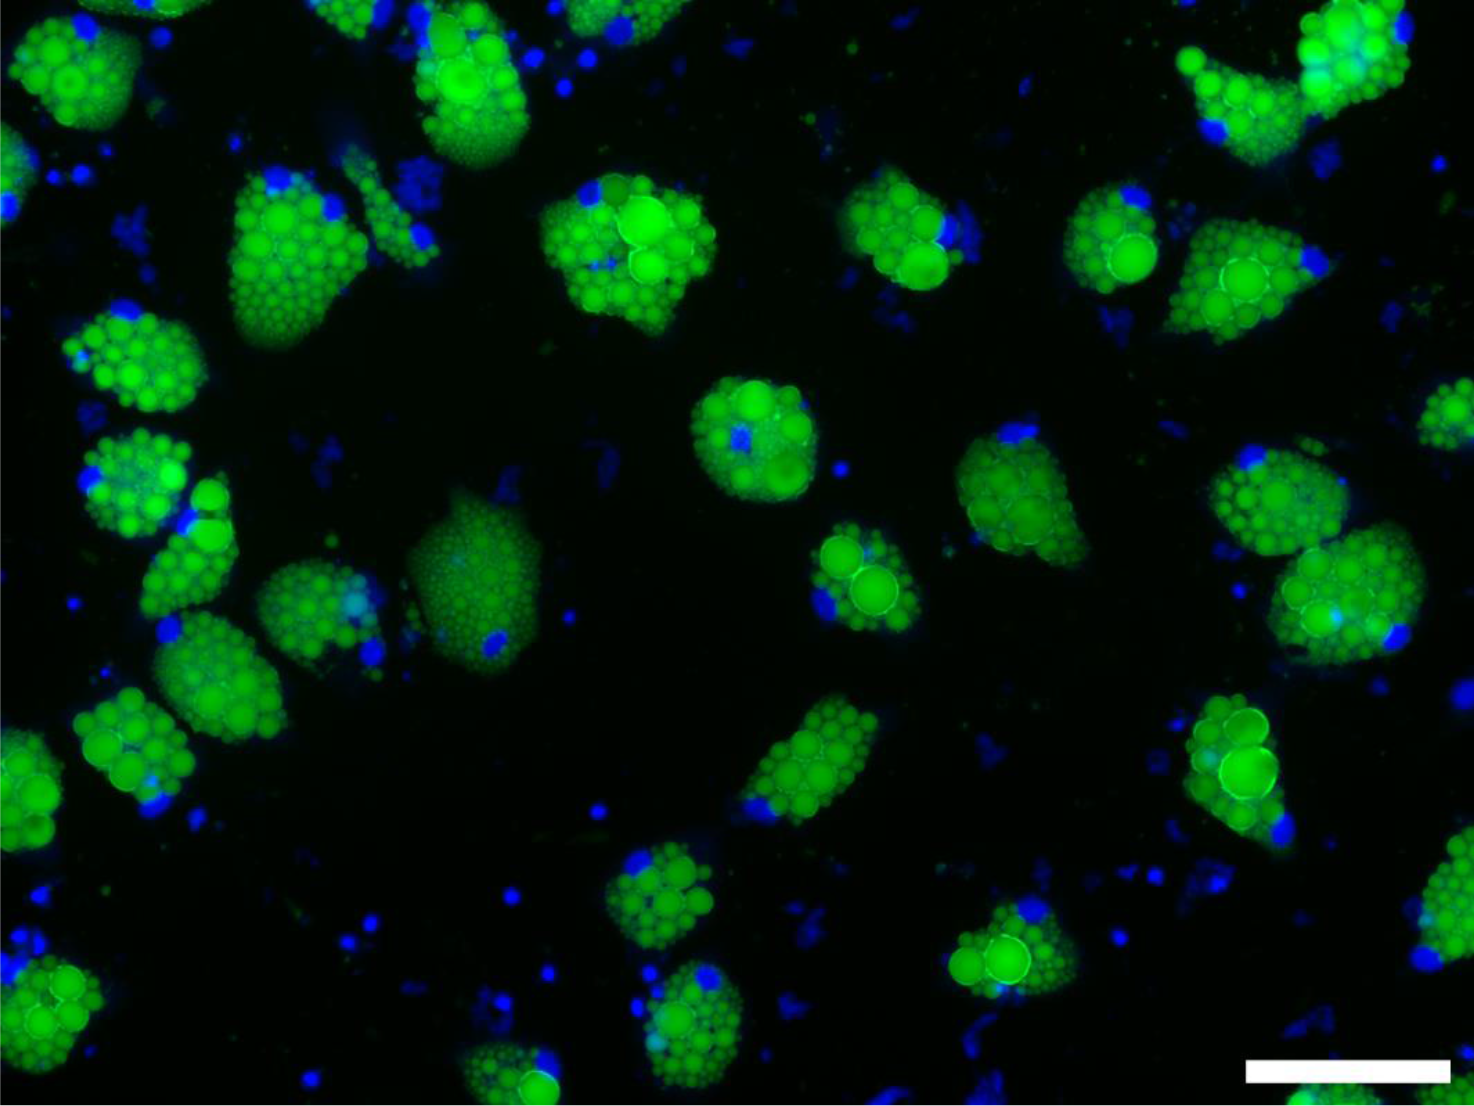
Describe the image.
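These are rounded, fat-laden cells lying singly or in small groups, each packed with many green lipid droplets. The droplets are round and of mixed sizes: many are small, and some cells hold a few much larger ones. Small blue specks and fragments are scattered in the dark space between the cells.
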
